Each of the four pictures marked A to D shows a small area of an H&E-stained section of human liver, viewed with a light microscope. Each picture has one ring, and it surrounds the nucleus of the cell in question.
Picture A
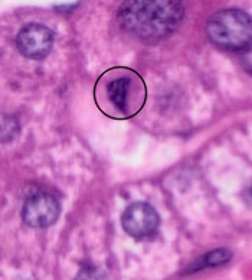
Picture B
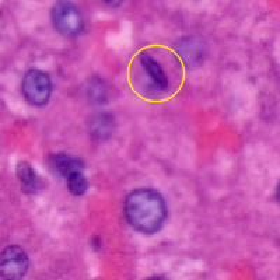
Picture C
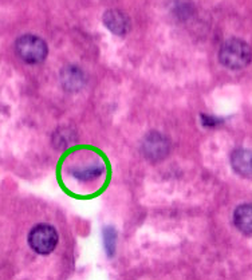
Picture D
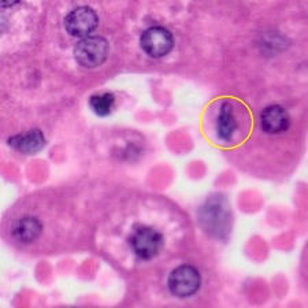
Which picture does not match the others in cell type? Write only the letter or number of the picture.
C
